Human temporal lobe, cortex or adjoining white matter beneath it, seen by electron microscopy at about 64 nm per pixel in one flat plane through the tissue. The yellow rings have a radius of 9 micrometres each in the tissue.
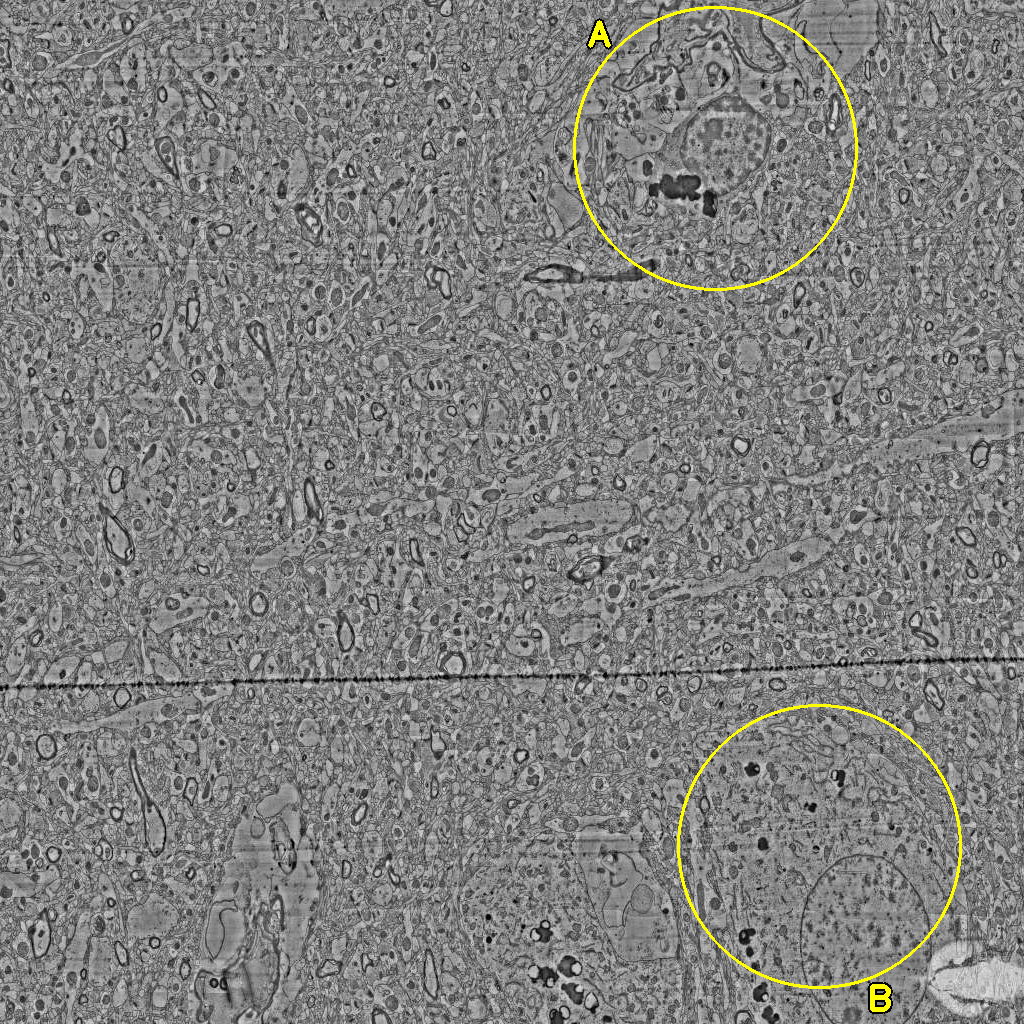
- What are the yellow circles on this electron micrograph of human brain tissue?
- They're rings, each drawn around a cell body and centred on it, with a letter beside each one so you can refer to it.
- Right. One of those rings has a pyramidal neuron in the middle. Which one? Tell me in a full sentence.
It's ring B.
